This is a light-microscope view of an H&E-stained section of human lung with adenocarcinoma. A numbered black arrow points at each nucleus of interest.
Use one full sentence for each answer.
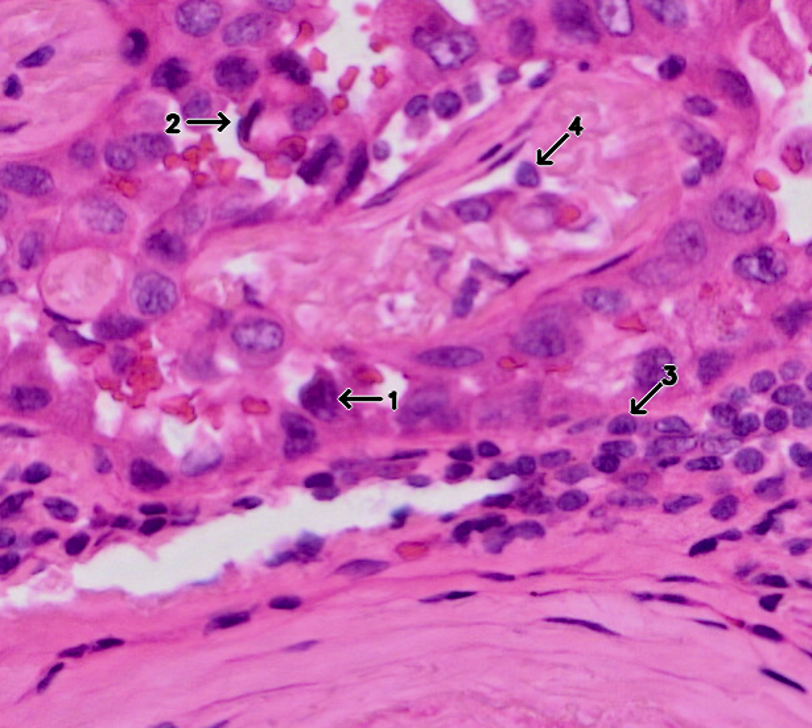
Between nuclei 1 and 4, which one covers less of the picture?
It is nucleus 4; nucleus 1 has about 2.5 times its area.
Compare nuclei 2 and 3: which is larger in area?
Number 2 is larger; its area is about 1.5 times that of number 3.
